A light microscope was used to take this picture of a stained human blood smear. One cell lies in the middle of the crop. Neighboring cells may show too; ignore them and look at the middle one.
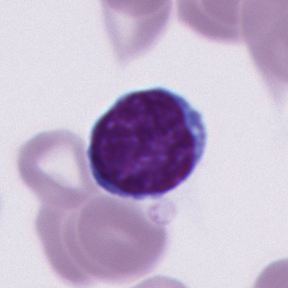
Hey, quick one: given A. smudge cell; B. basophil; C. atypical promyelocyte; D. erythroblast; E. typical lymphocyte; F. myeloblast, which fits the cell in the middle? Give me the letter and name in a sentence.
That middle cell is a typical lymphocyte, and option E is therefore correct.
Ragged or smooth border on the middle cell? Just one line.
The cell shows a smooth outline that lacks any surface projections.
